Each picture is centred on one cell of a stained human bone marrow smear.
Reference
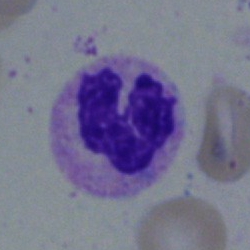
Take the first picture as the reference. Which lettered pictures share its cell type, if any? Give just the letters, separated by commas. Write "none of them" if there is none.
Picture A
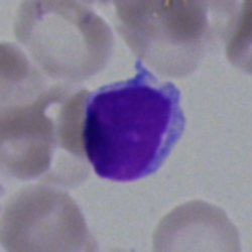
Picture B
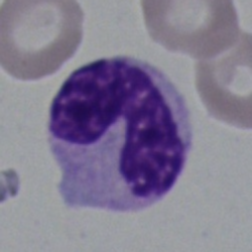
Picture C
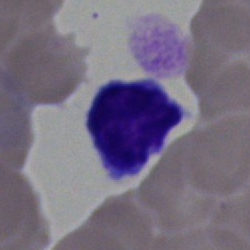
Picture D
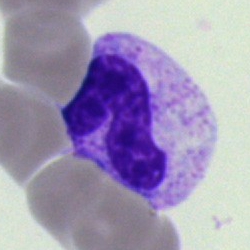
B, D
